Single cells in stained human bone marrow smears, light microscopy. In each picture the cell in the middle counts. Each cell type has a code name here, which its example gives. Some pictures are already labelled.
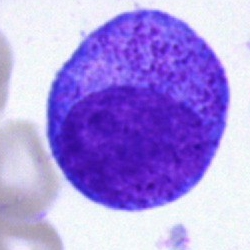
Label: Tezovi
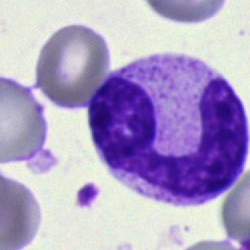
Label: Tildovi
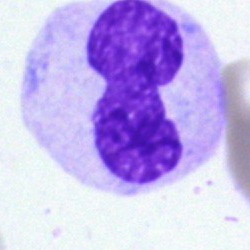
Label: Tildovi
